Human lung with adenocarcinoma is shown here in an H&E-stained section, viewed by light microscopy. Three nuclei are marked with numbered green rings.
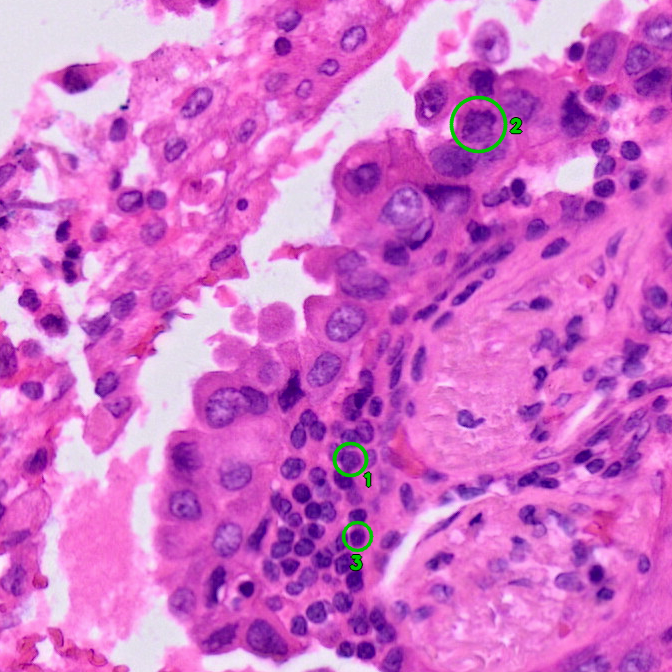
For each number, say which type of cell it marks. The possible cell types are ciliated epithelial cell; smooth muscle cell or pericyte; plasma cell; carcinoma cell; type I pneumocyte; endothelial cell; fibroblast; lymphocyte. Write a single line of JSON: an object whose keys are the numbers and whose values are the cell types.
{"1": "lymphocyte", "2": "carcinoma cell", "3": "lymphocyte"}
